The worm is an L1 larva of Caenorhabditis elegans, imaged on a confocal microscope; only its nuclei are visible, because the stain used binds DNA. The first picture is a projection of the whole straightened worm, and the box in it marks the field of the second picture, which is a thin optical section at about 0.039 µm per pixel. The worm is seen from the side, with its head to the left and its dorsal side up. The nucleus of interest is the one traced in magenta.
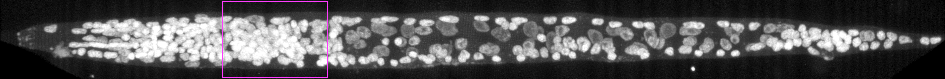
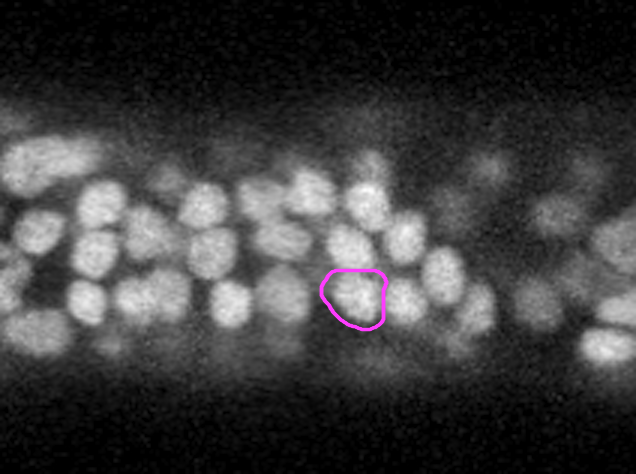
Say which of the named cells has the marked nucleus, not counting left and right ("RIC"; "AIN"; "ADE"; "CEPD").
RIC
